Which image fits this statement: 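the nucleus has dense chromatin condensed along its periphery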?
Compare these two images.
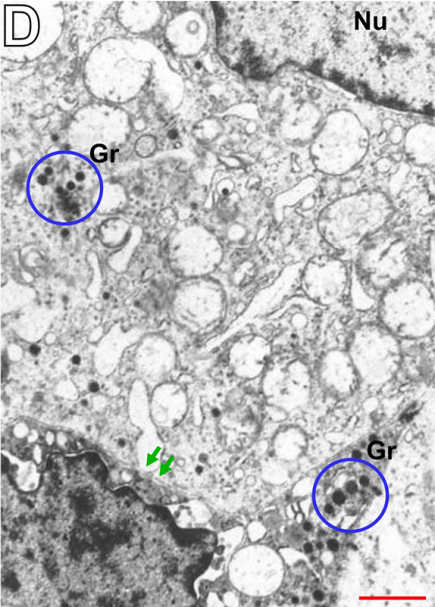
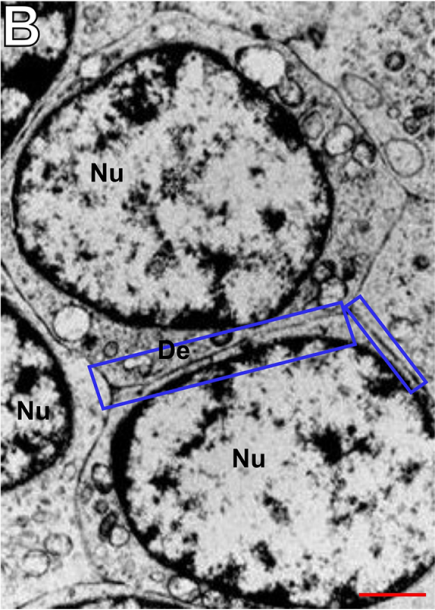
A: the second image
